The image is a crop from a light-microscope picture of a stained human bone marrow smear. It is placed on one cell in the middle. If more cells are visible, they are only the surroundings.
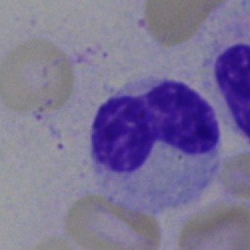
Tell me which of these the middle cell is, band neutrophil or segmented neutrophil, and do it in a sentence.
The cell at the centre of the field is a band neutrophil.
